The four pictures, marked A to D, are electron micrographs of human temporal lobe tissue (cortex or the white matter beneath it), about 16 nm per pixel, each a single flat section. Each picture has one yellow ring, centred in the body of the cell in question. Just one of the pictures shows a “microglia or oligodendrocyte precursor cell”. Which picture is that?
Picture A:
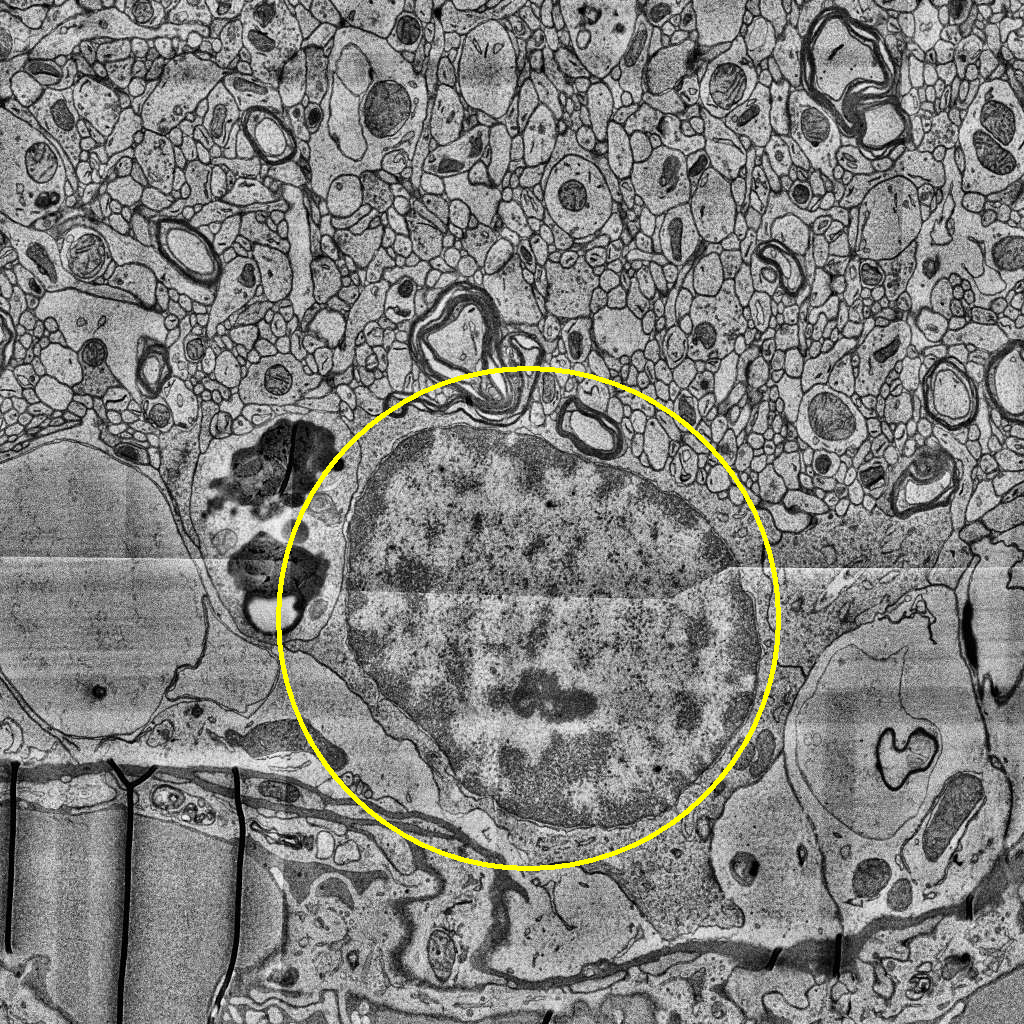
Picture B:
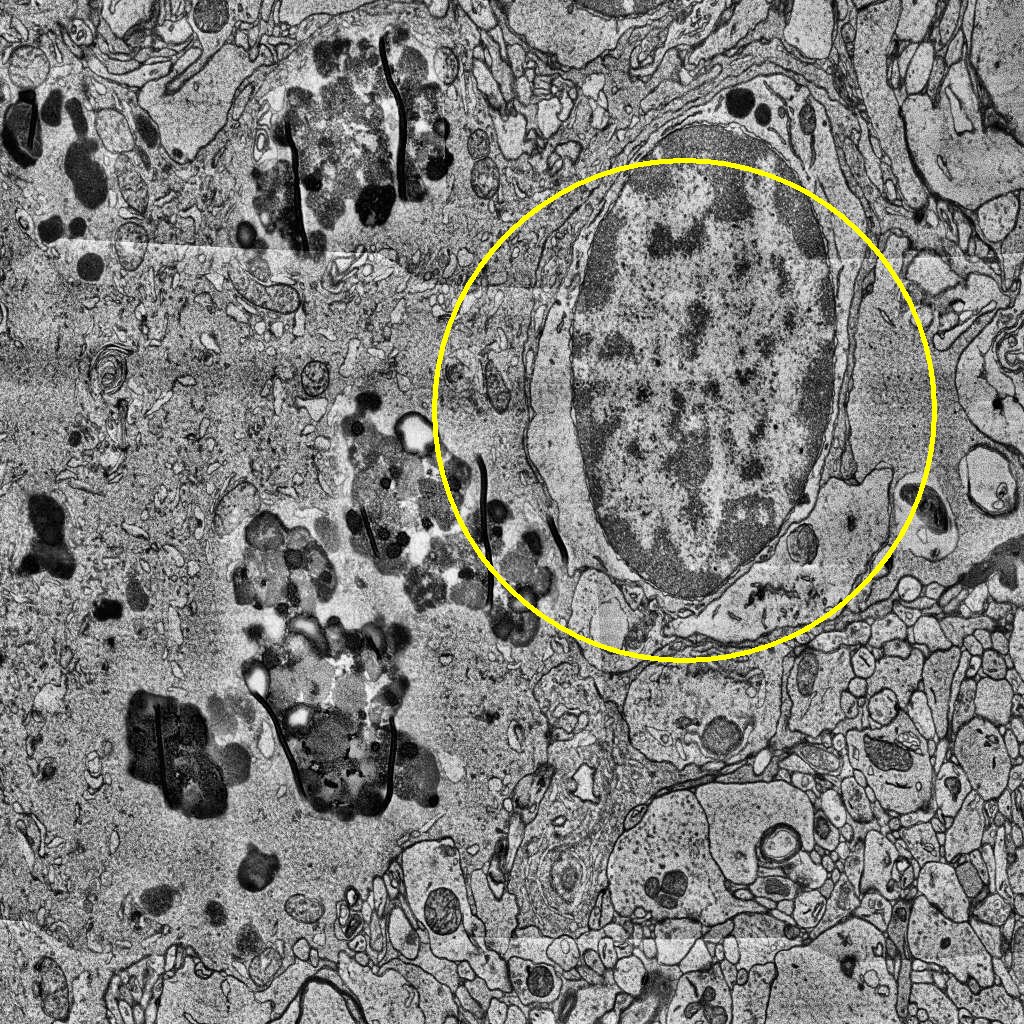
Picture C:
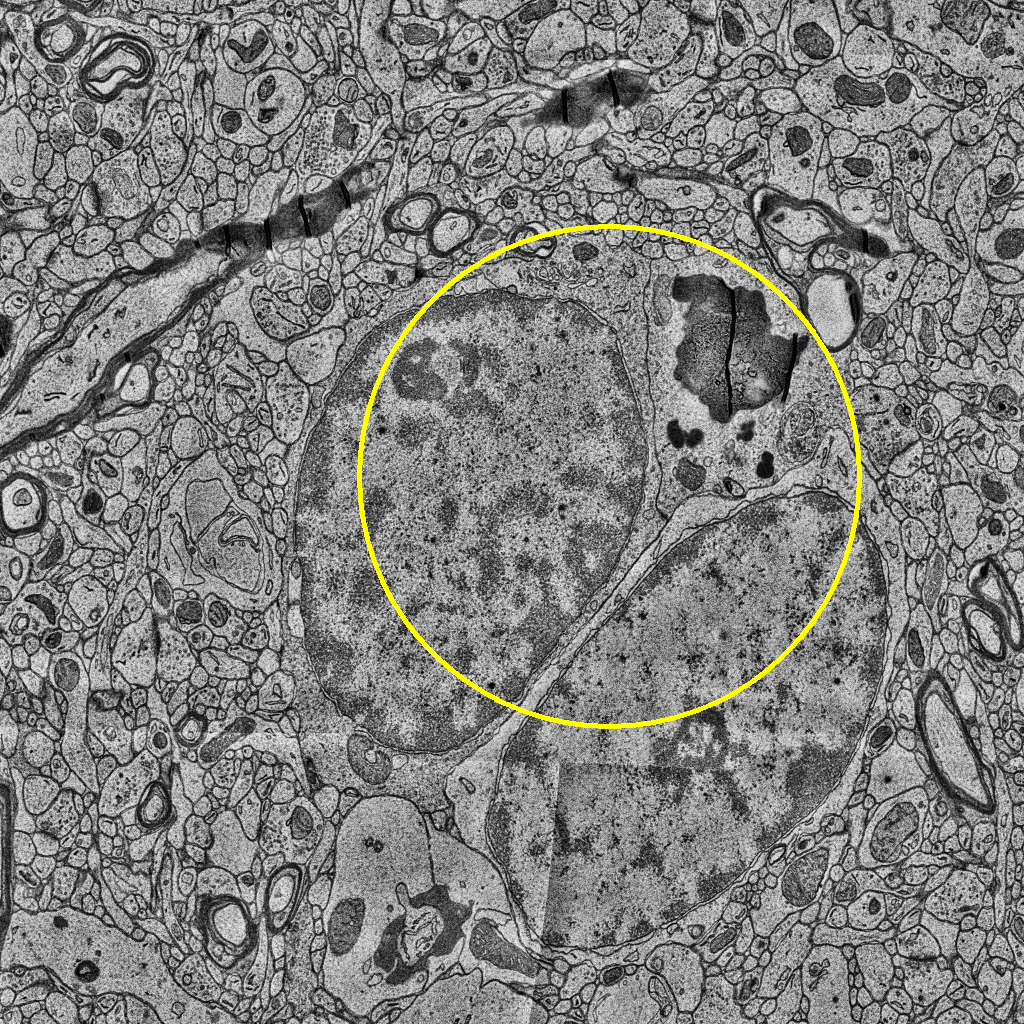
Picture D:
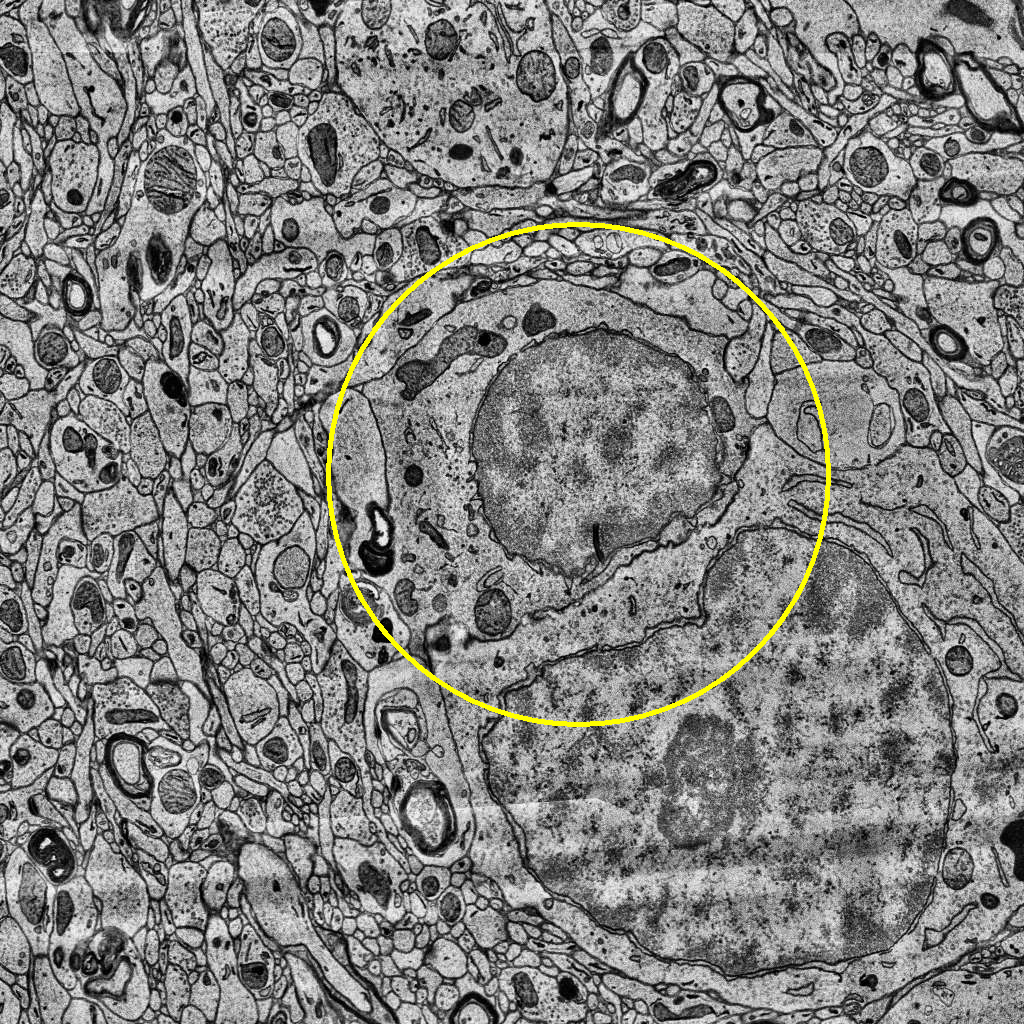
The “microglia or oligodendrocyte precursor cell” is the one in picture B.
